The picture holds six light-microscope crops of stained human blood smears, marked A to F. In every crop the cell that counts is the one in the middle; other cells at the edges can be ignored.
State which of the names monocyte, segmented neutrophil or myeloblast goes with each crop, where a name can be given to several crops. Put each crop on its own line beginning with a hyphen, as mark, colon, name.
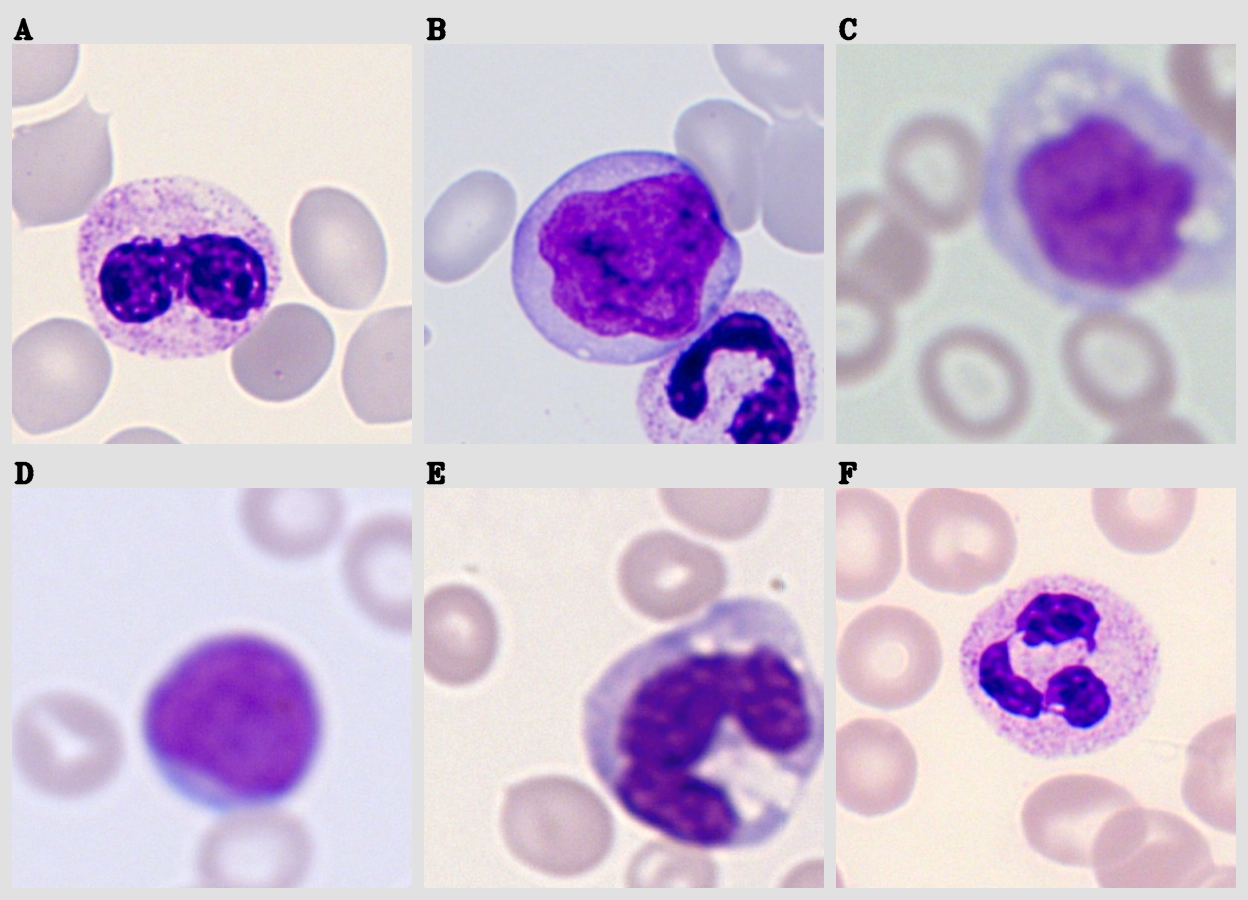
- A: segmented neutrophil
- B: myeloblast
- C: monocyte
- D: myeloblast
- E: monocyte
- F: segmented neutrophil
